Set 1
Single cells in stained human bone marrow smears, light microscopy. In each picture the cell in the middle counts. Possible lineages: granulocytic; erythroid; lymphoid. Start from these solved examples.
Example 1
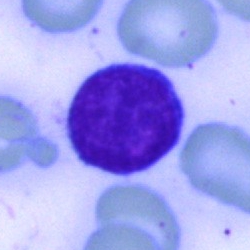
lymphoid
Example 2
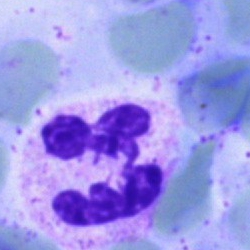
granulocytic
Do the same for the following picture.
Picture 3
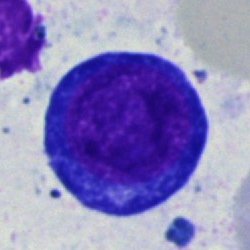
erythroid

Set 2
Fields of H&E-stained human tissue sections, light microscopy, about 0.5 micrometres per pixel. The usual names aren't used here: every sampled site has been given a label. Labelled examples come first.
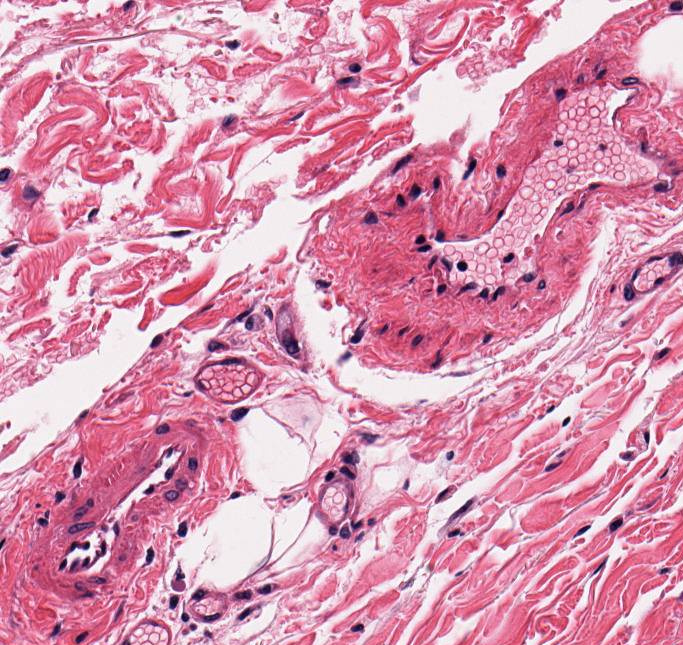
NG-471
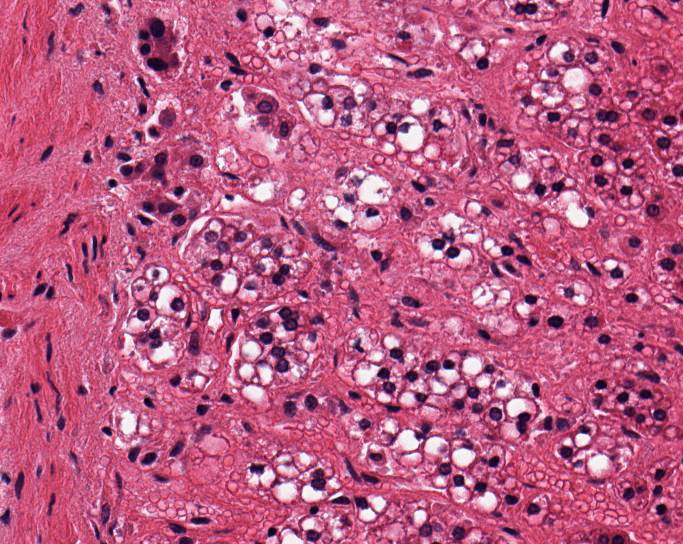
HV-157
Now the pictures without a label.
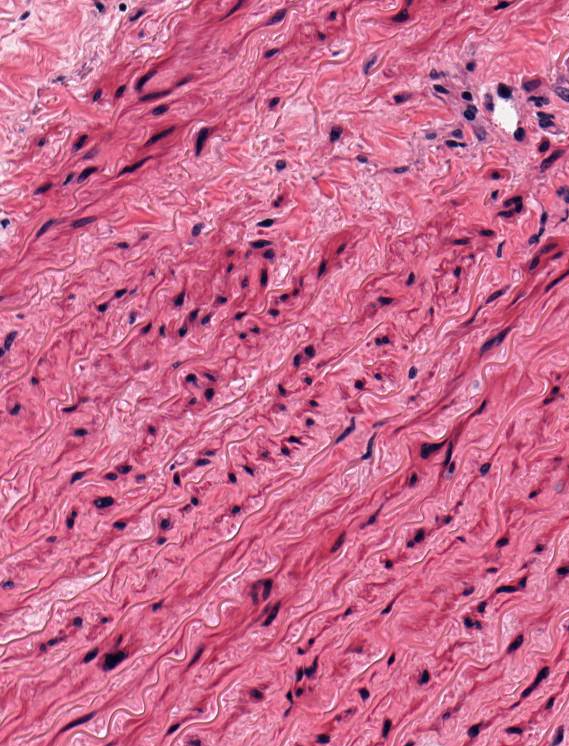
NG-471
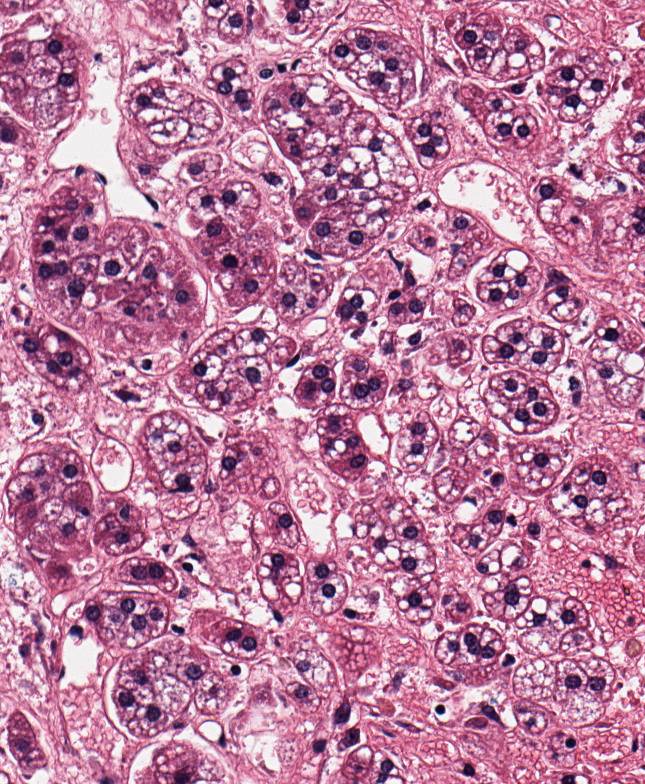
HV-157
